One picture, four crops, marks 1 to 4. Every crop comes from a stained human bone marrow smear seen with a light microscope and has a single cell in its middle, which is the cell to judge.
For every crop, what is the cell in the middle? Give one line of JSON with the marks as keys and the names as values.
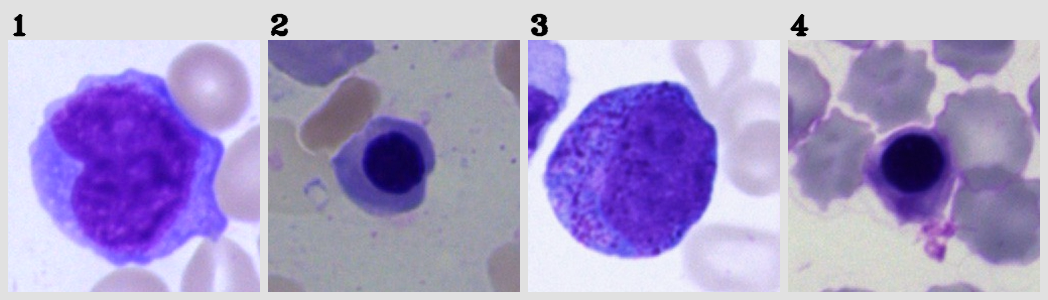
{"1": "blast", "2": "erythroblast", "3": "promyelocyte", "4": "erythroblast"}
